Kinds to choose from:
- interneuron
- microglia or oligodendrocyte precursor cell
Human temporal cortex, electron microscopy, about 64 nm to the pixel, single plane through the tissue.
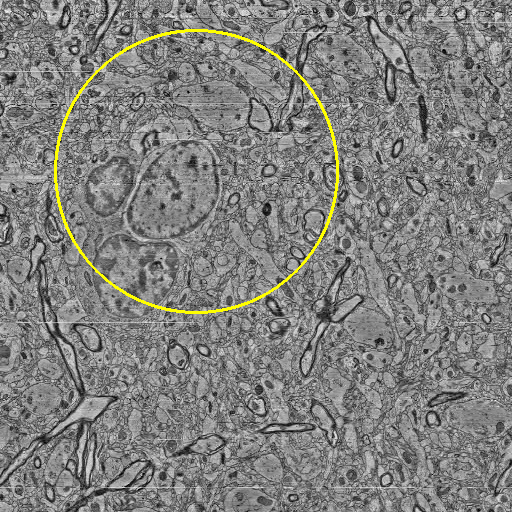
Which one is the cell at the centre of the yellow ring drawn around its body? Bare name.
microglia or oligodendrocyte precursor cell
